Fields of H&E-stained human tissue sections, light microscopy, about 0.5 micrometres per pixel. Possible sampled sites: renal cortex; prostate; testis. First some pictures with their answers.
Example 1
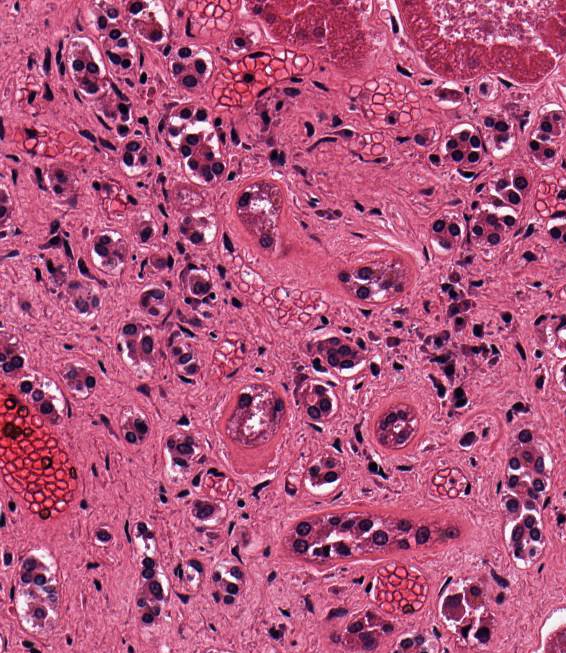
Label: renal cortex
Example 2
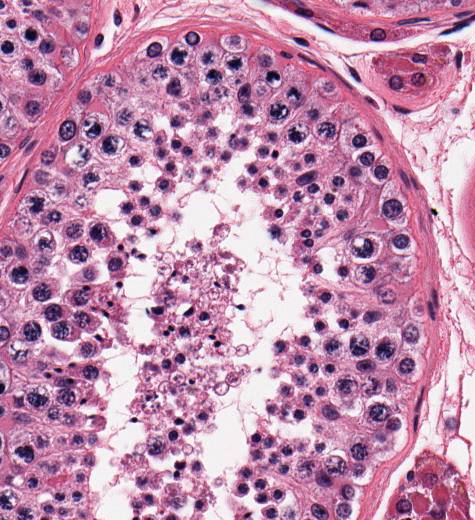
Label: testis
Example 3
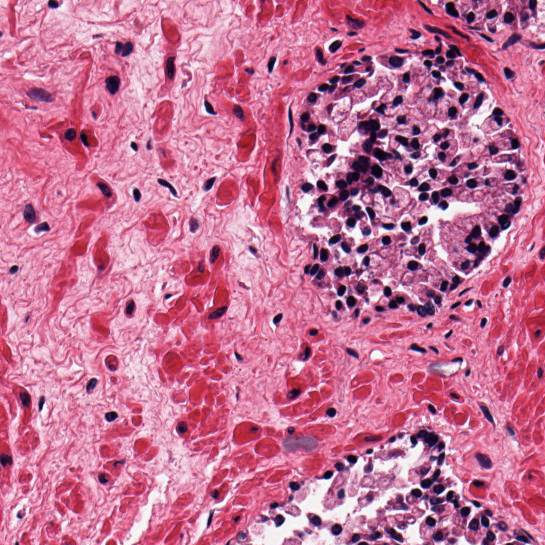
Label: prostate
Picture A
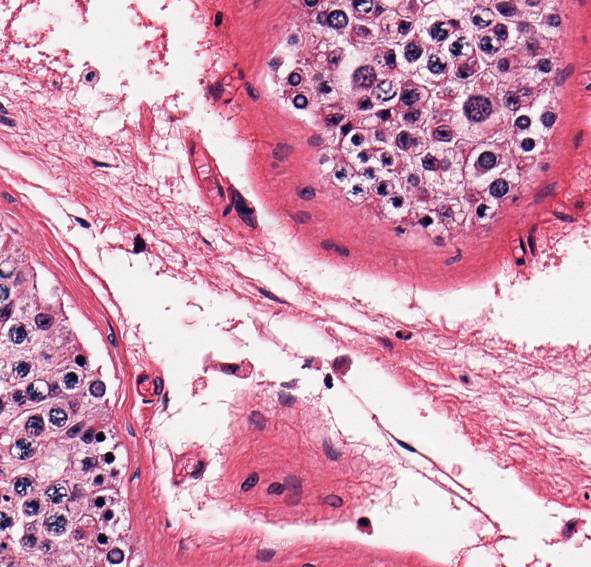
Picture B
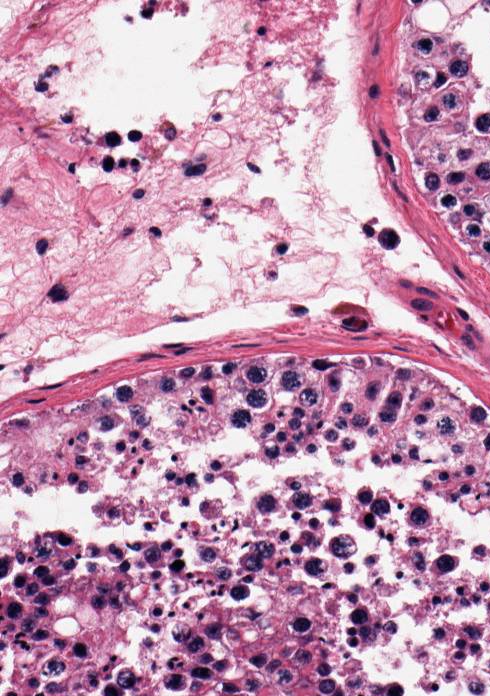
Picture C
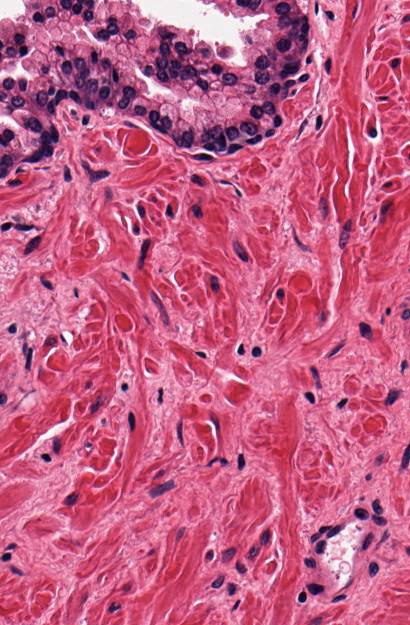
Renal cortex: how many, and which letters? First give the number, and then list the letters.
0, none of them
